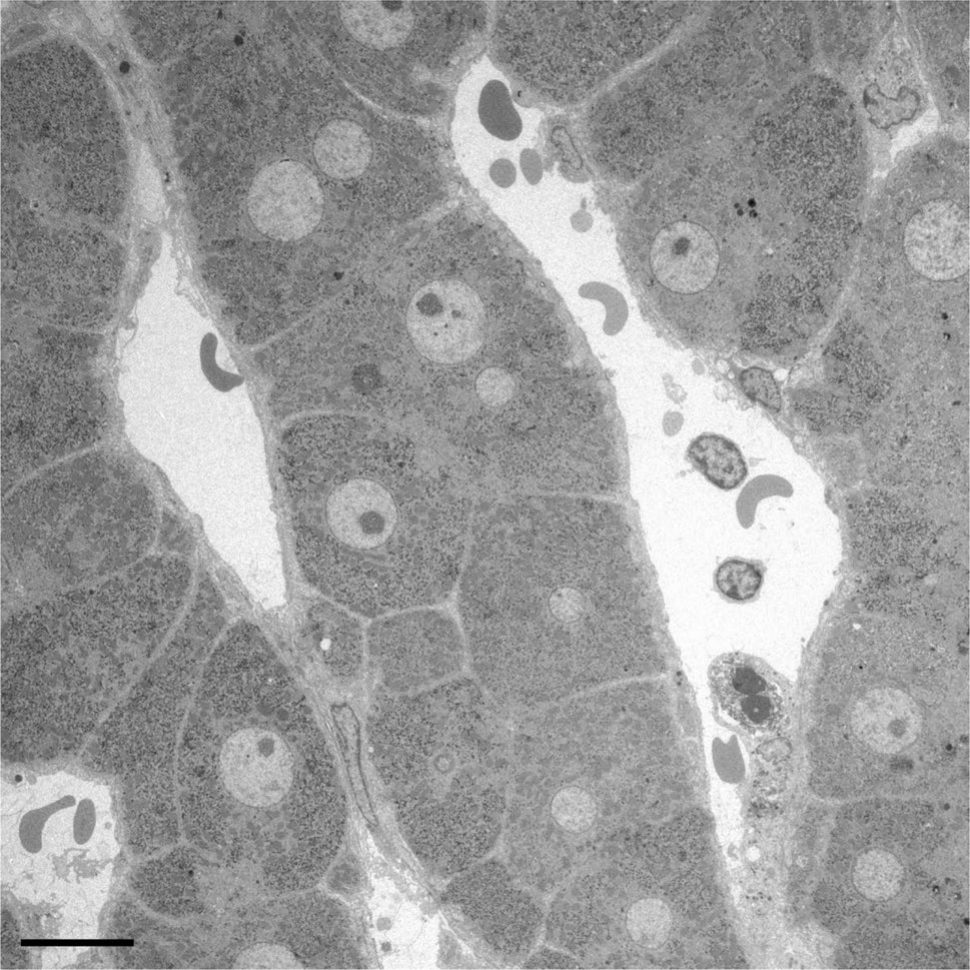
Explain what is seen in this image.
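Survey view of liver parenchyma. Large polygonal parenchymal cells lie in broad cords, packed edge to edge with distinct plasma membranes between them. Each has a round, pale, central nucleus, several with a dense nucleolus, and a cytoplasm with coarse, dark, granular texture. Between the cords run elongated, electron-lucent sinusoids. These are lined by flat thin cells and contain dark, crescent- and disc-shaped red blood cell profiles. A few nucleated white cells also lie in the lumen, one with a lobed dense nucleus. The tissue architecture is preserved, with open sinusoids and closely apposed cells.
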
